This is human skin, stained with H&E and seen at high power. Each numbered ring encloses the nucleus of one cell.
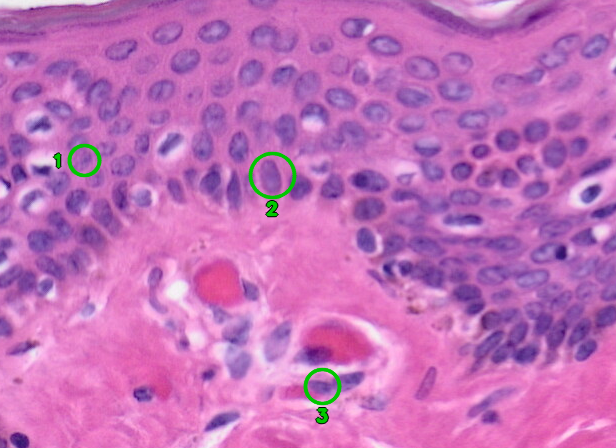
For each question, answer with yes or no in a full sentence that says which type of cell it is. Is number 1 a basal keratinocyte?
No. Cell number 1 is a suprabasal keratinocyte, not a basal keratinocyte.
